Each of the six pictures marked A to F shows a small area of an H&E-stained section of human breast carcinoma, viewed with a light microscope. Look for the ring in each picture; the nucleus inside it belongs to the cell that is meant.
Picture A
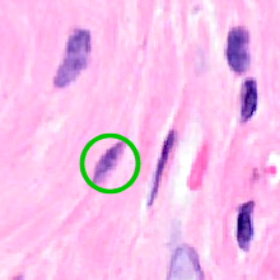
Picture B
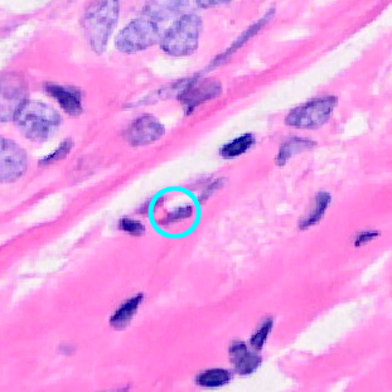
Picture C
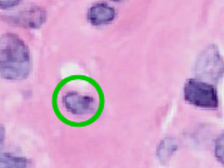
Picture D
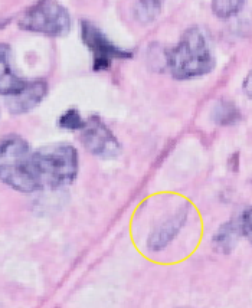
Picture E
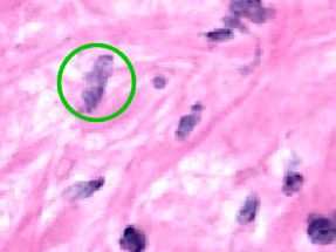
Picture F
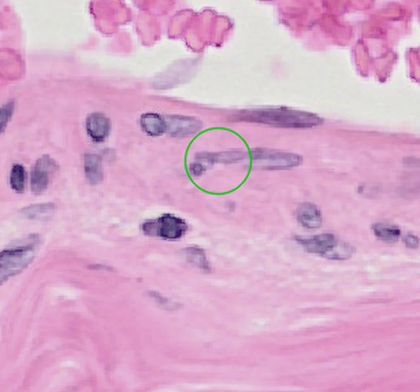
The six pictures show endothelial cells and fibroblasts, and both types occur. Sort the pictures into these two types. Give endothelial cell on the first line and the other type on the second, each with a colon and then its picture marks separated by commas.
endothelial cell: B, C, D, F
fibroblast: A, E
